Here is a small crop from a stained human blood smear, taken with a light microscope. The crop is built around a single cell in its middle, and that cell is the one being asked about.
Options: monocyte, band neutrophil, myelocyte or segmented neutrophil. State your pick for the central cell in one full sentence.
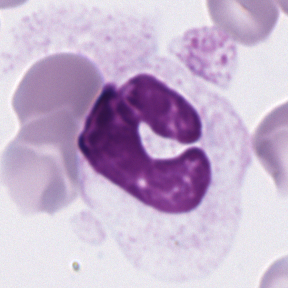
The cell at the heart of this crop is a band neutrophil.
